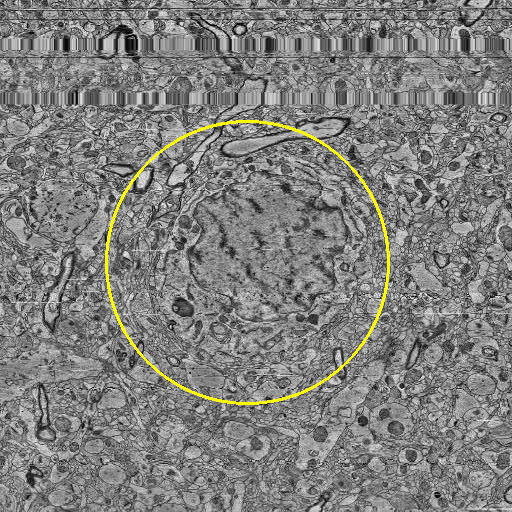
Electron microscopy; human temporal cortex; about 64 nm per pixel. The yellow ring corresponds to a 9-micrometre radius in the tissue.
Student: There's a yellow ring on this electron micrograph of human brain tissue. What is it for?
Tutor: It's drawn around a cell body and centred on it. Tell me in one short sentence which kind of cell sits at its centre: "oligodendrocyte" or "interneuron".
The cell at the centre of the ring is an interneuron.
